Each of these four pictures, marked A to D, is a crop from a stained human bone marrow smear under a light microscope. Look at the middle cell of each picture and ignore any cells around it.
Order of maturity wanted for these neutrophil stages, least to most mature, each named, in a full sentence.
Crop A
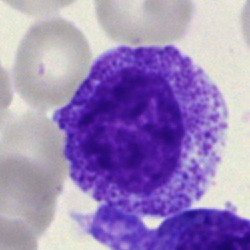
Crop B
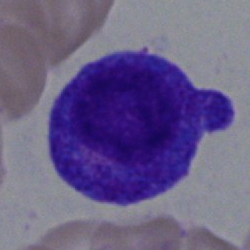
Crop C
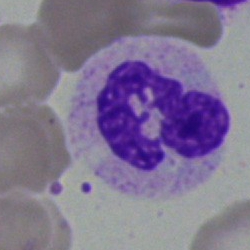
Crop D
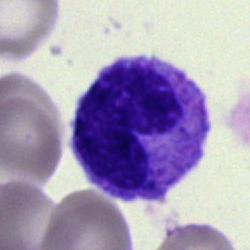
The order, going from least to most mature, is crop B (a promyelocyte), crop A (a myelocyte), crop D (a band neutrophil) and crop C (a segmented neutrophil).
